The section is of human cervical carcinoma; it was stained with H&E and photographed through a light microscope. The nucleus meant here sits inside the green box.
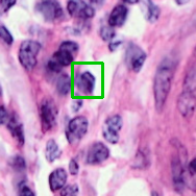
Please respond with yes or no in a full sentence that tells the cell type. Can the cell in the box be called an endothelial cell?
No, the cell in the box counts as a lymphocyte rather than as an endothelial cell.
